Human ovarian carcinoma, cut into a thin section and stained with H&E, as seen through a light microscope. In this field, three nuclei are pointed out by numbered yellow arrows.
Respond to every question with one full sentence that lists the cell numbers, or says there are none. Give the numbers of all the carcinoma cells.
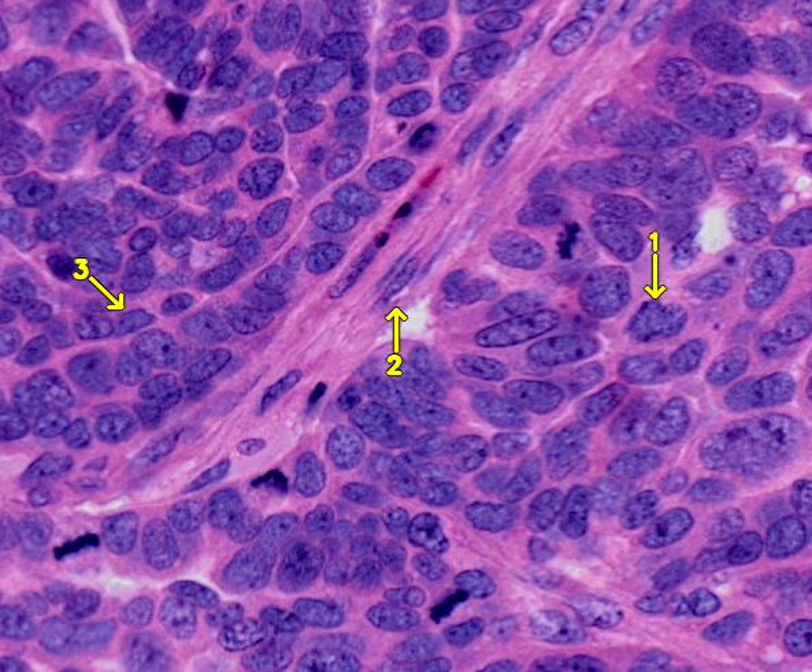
The cells with the numbers 1 and 3 are carcinoma cells.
